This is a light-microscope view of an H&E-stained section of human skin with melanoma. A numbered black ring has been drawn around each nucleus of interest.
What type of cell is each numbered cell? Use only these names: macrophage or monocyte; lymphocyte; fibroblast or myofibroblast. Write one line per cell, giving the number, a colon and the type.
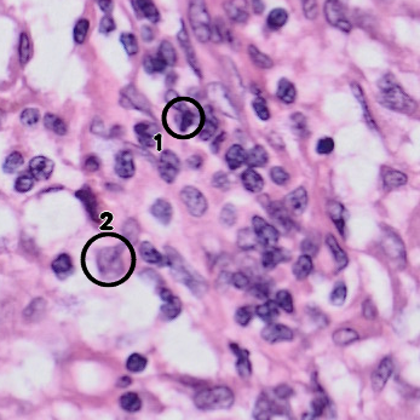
1: lymphocyte
2: macrophage or monocyte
